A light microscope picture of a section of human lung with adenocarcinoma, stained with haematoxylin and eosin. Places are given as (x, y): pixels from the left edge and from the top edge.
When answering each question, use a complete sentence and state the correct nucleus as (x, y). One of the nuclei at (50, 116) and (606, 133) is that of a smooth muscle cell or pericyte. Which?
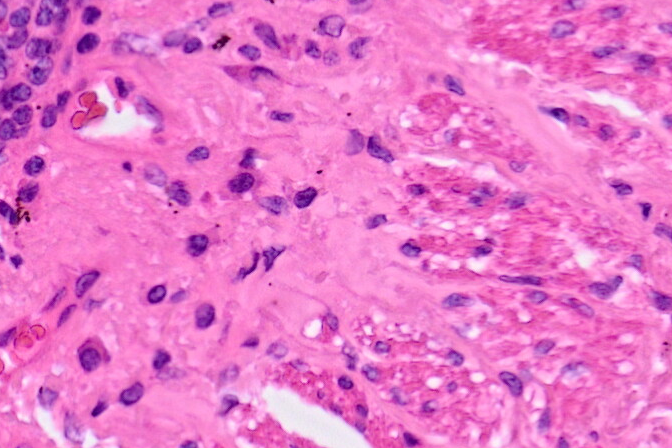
The one belonging to a smooth muscle cell or pericyte is the nucleus at (606, 133), not the other.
